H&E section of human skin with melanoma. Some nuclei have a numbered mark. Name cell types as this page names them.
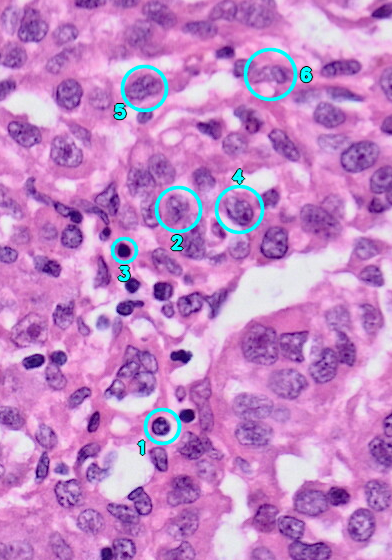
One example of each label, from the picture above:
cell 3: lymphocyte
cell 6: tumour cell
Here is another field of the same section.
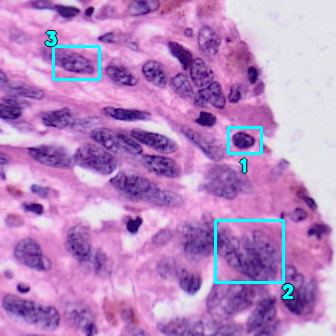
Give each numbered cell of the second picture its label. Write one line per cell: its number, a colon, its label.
1: lymphocyte
2: tumour cell
3: tumour cell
